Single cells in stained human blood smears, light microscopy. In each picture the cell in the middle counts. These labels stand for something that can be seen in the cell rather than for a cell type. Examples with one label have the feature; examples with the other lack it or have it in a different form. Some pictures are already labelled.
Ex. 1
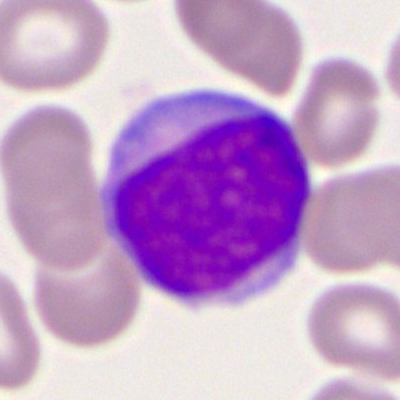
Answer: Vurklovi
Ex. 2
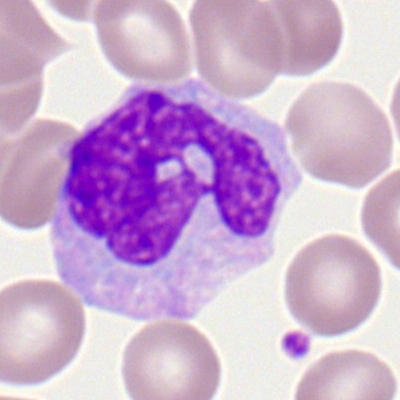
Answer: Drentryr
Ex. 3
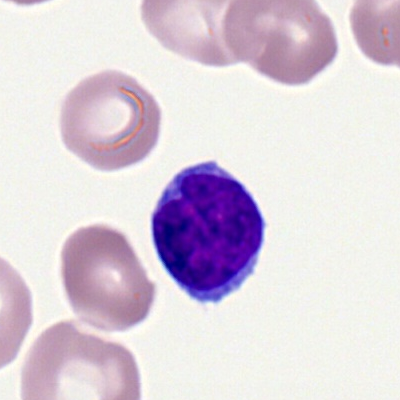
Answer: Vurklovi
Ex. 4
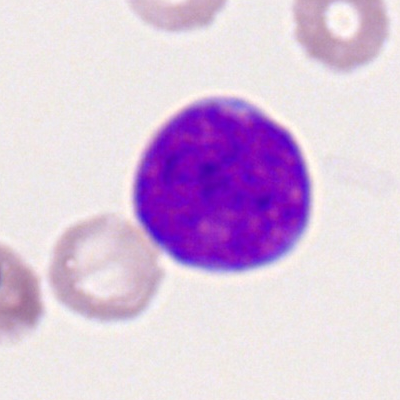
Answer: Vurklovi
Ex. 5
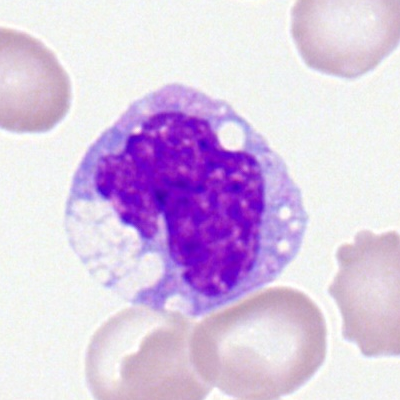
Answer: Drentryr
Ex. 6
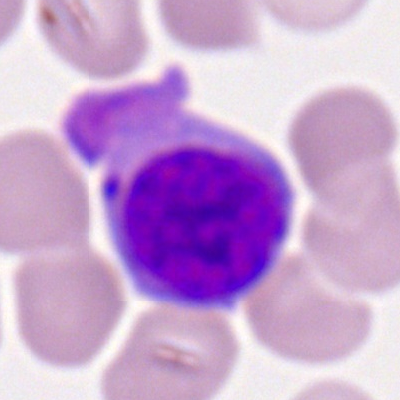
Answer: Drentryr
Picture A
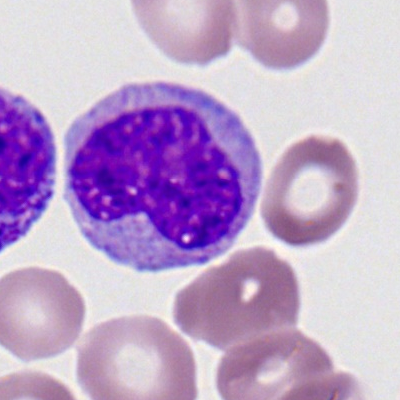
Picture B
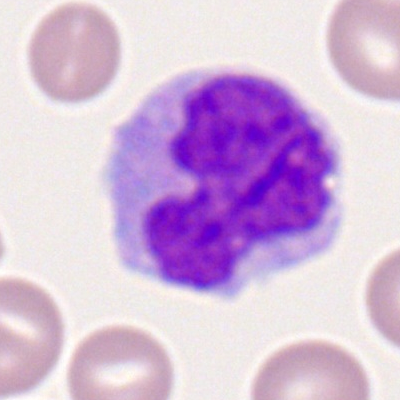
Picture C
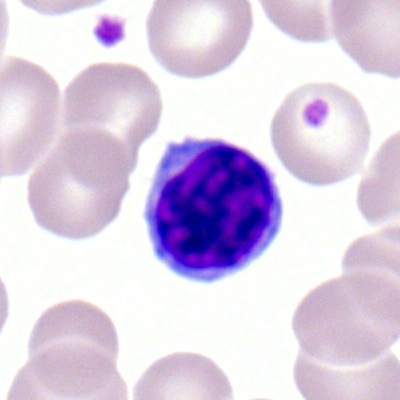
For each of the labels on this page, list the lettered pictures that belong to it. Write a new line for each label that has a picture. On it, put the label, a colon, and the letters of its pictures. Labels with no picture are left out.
Vurklovi: A, C
Drentryr: B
